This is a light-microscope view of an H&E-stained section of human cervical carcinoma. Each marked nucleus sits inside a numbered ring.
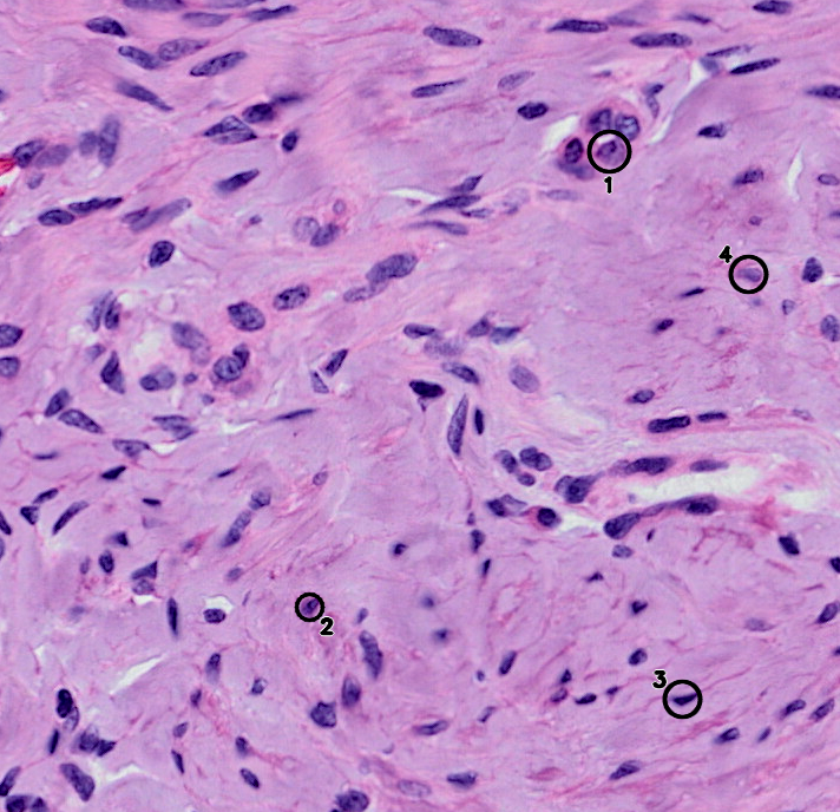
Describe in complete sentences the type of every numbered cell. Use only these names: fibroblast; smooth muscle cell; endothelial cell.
Cell 1 is an endothelial cell. Cells 2 and 4 are smooth muscle cells. Cell 3 is a fibroblast.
